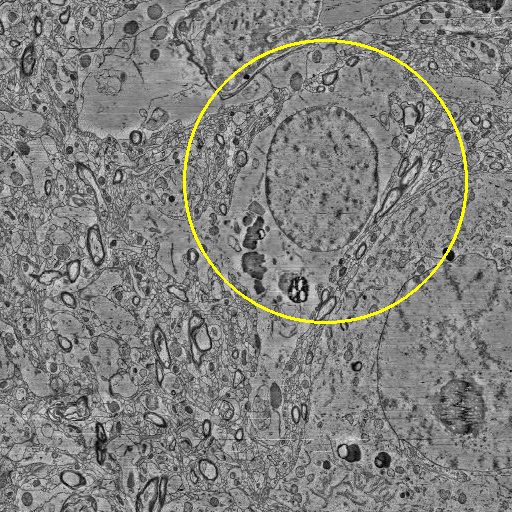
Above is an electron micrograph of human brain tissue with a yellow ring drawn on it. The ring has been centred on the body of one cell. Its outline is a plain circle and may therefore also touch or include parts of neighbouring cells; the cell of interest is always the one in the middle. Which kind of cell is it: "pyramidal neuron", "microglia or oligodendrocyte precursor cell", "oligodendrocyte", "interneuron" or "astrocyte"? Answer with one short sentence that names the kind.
The ring's central cell body is that of an astrocyte.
